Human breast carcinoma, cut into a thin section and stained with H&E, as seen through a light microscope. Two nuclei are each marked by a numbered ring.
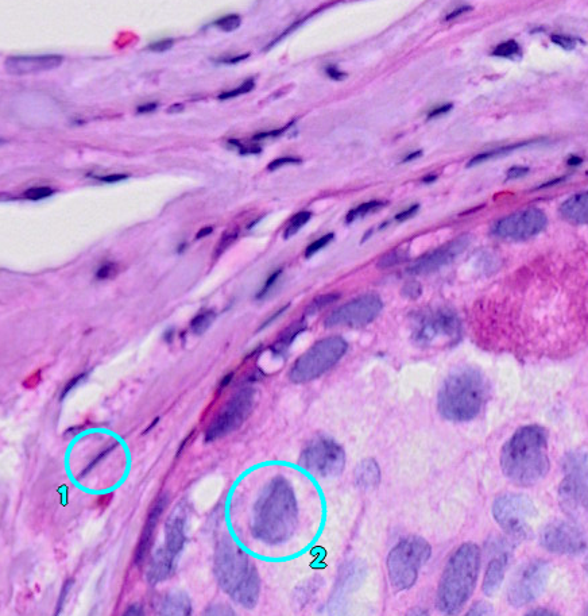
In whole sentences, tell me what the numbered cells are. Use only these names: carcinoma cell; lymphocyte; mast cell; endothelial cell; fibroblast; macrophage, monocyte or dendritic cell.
Cell 1 is a fibroblast. Cell 2 is a carcinoma cell.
